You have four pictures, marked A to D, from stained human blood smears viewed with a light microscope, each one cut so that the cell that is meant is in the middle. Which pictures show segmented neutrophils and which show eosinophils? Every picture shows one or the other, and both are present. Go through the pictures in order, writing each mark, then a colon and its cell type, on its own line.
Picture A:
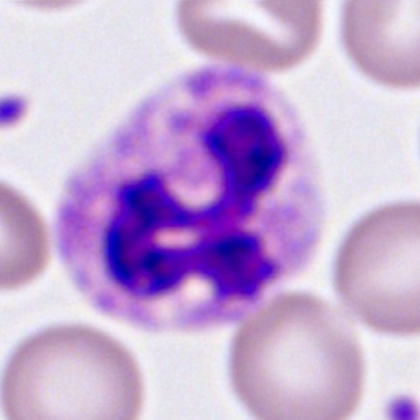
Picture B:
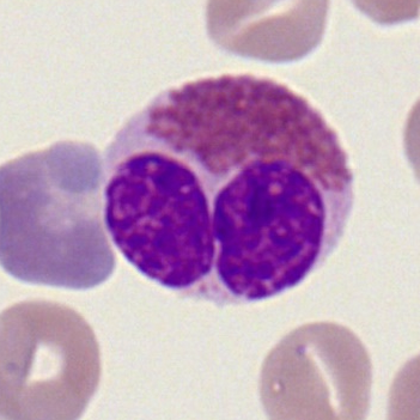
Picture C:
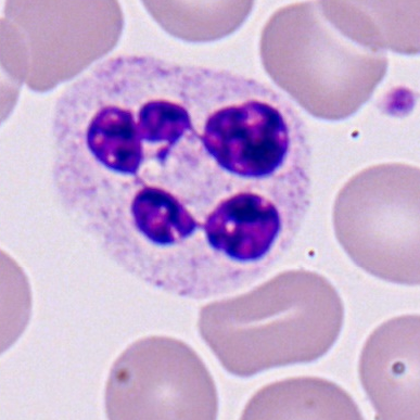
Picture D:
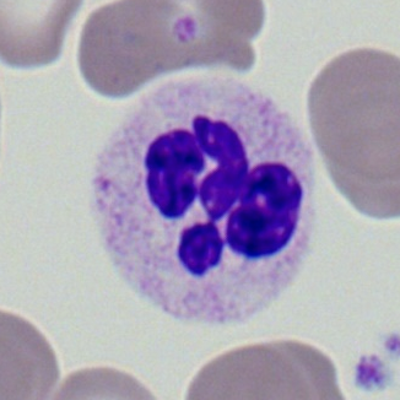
A: segmented neutrophil
B: eosinophil
C: segmented neutrophil
D: segmented neutrophil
